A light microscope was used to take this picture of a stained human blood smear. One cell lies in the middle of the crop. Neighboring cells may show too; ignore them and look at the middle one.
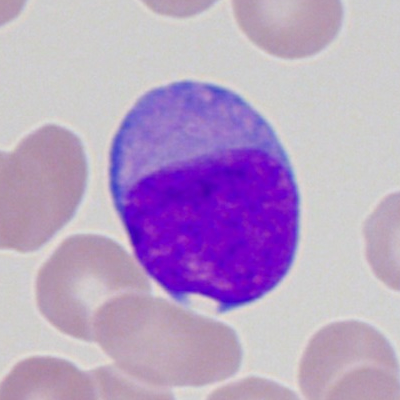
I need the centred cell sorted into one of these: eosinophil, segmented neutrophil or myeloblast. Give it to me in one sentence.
The crop shows a myeloblast in its centre.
